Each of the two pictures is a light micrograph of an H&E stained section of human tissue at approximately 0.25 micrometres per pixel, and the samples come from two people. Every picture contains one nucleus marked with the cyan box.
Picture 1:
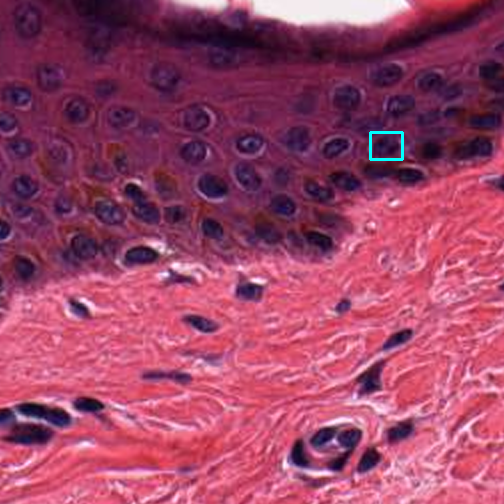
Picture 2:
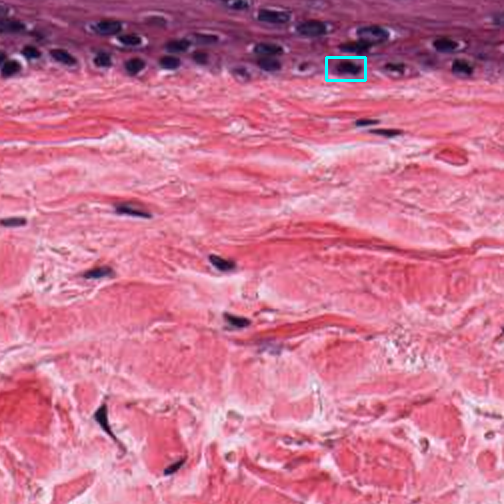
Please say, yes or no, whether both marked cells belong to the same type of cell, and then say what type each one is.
Yes, both are keratinocytes.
